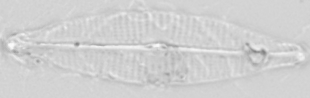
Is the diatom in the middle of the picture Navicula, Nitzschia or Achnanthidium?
It is Navicula.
